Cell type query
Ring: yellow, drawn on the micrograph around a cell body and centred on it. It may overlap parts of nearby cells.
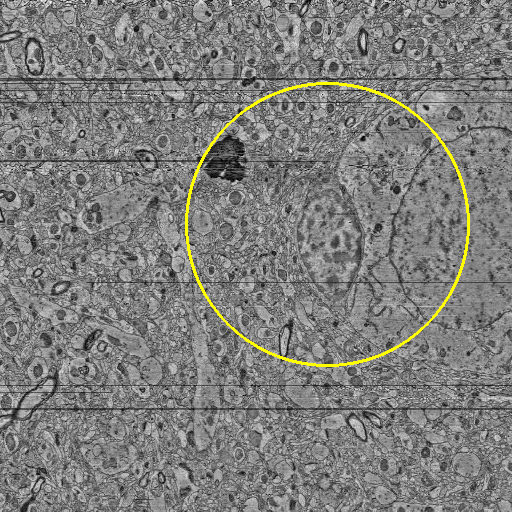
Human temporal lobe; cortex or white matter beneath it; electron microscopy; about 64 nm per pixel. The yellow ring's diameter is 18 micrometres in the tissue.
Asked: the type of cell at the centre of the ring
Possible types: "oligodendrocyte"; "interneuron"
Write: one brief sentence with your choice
The ring marks an oligodendrocyte.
